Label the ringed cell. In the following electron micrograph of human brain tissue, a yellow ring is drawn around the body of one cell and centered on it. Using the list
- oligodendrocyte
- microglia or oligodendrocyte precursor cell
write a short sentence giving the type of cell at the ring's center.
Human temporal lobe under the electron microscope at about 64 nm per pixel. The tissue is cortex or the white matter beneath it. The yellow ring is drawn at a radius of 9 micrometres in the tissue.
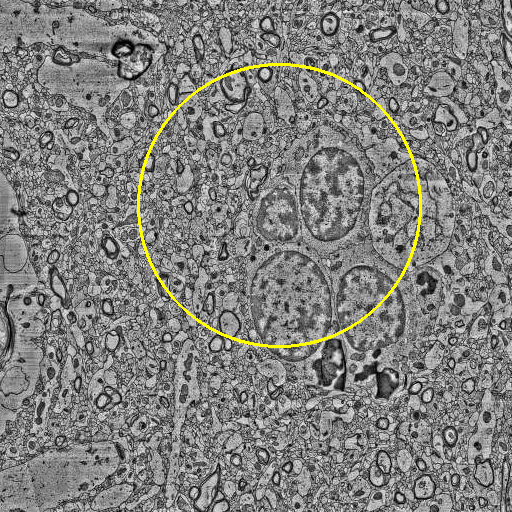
The cell body at the ring's center is that of an oligodendrocyte.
